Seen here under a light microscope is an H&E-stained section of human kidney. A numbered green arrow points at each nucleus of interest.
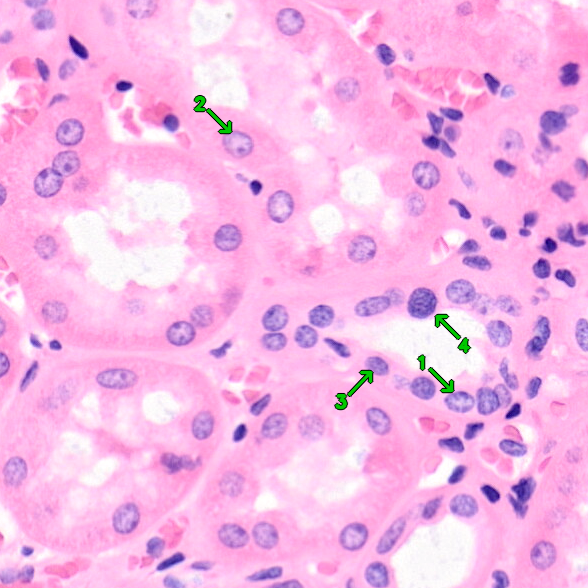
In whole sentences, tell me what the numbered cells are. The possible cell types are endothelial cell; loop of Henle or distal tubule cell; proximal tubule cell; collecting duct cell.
Cell 1 is a collecting duct cell, cell 2 is a proximal tubule cell, cell 3 is a collecting duct cell and cell 4 is a collecting duct cell.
